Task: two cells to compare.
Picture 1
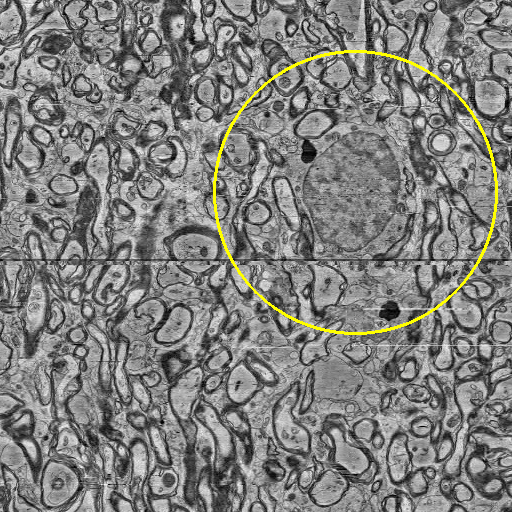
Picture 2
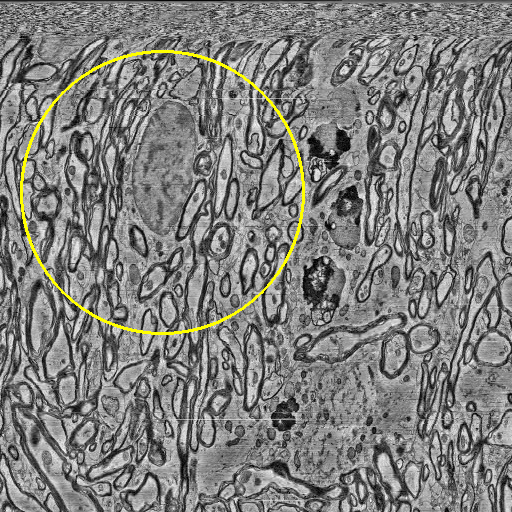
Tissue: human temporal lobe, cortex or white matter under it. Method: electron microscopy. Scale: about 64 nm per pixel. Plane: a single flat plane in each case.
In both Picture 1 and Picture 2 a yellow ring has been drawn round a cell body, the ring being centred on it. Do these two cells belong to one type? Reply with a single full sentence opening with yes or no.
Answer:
Yes, the two cells at the ring centres in Picture 1 and Picture 2 share one type.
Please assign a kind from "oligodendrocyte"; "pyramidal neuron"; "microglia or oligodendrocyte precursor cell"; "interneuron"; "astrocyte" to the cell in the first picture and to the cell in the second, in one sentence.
In the first picture and in the second, the ring is centred on an oligodendrocyte.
